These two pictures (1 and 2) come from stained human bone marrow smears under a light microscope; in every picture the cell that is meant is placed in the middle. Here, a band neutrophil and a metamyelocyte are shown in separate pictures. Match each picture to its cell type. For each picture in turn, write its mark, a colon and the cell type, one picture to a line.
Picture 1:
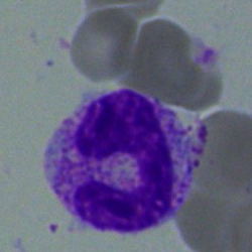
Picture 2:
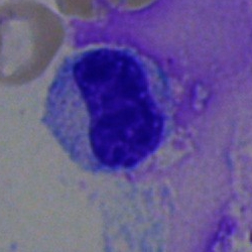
1: band neutrophil
2: metamyelocyte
